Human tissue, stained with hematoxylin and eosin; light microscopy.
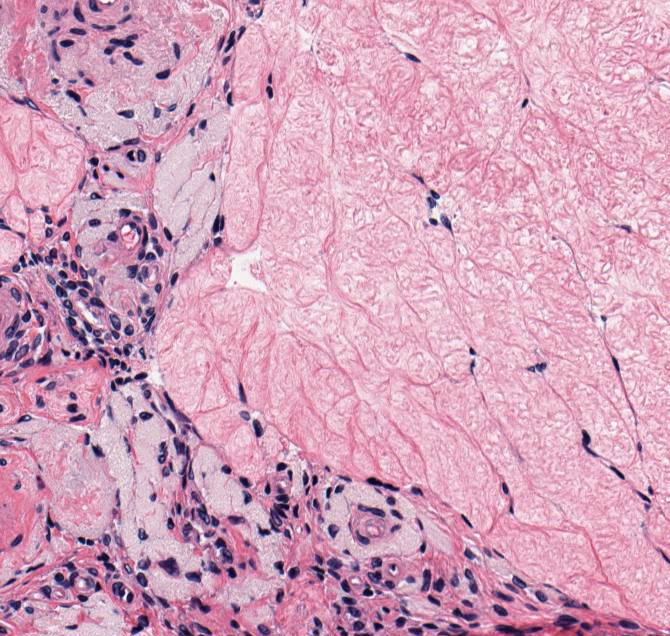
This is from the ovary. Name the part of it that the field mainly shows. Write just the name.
corpus albicans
